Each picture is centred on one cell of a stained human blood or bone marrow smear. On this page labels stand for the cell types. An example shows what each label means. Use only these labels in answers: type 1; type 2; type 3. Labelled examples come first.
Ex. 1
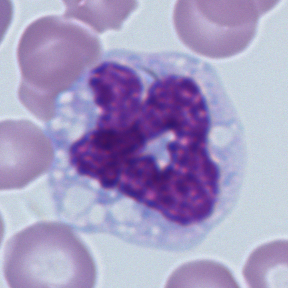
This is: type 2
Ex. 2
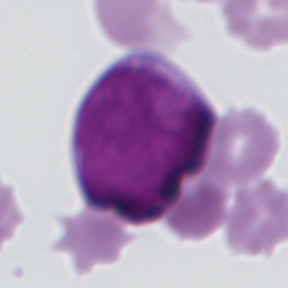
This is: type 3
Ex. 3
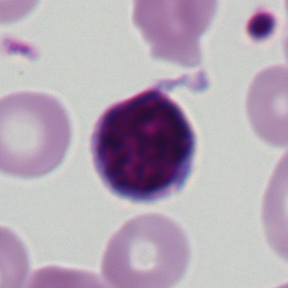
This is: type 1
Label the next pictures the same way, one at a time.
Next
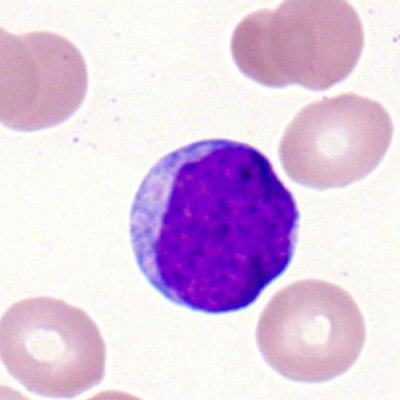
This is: type 1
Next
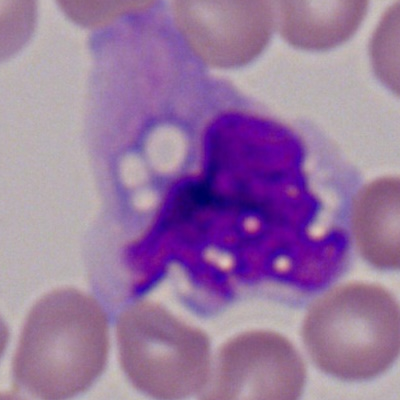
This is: type 2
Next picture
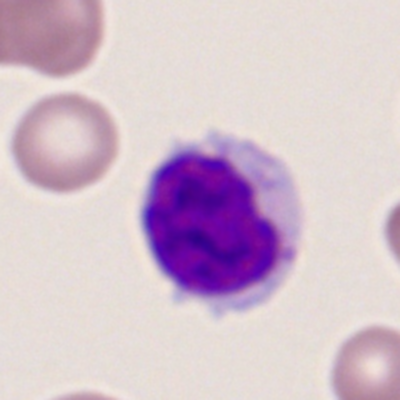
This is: type 1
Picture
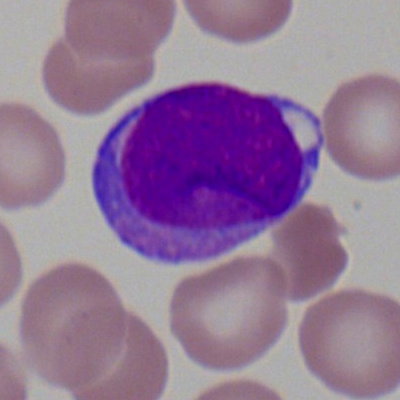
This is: type 3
